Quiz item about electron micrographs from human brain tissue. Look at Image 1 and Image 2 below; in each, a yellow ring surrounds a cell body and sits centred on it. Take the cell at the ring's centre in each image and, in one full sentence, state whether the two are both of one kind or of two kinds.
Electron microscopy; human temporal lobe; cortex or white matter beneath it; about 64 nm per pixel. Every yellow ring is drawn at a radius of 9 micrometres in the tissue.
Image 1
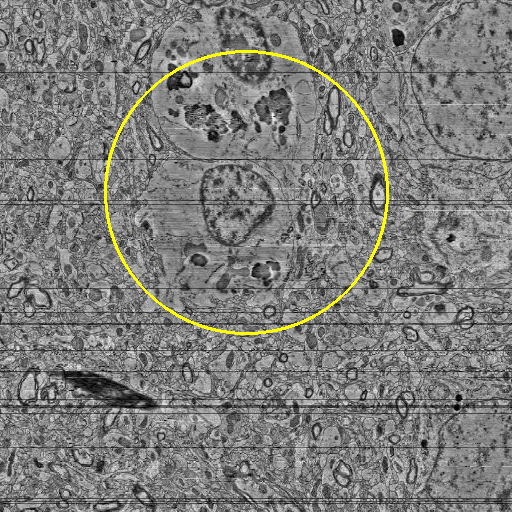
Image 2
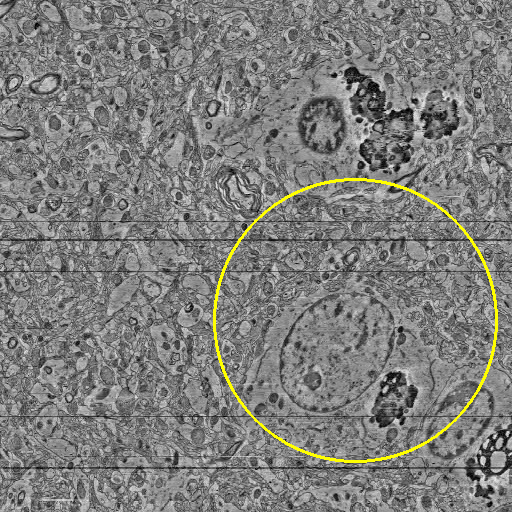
In Image 1 and Image 2, the cells at the ring centres are both of one kind.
